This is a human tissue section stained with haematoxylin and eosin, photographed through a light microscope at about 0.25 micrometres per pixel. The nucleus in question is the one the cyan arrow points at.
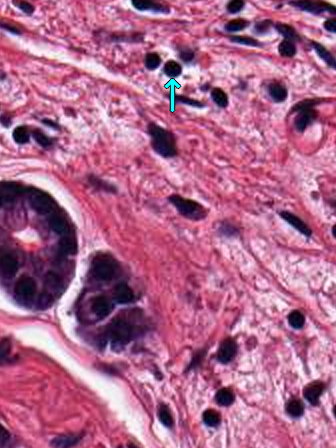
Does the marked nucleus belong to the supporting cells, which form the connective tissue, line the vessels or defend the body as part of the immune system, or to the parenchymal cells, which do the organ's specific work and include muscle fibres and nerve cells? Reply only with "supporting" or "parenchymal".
supporting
